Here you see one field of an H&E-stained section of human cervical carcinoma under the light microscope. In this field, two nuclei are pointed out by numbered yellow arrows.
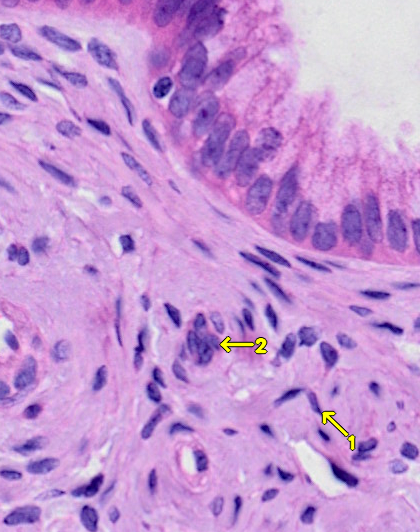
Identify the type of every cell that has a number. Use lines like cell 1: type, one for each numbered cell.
cell 1: fibroblast
cell 2: endothelial cell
